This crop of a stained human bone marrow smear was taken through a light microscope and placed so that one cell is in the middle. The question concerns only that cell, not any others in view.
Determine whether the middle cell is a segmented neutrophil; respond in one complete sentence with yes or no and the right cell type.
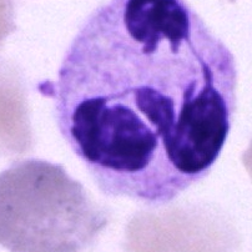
Yes, that is a segmented neutrophil in the middle of the crop.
